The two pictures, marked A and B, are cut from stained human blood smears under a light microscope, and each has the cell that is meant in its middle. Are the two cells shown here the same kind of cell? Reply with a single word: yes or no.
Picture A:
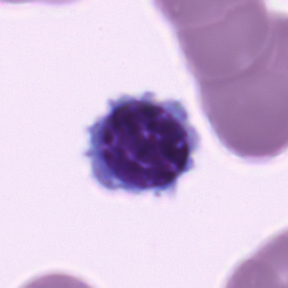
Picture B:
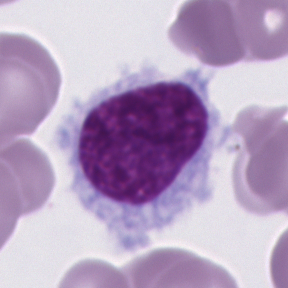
no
